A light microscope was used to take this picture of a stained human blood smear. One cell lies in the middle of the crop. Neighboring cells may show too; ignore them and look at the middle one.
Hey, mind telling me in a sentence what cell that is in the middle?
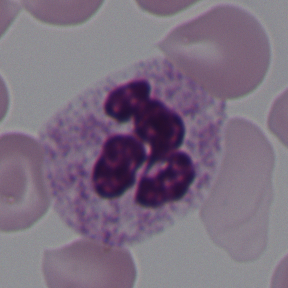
Occupying the centre of the crop is a segmented neutrophil.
